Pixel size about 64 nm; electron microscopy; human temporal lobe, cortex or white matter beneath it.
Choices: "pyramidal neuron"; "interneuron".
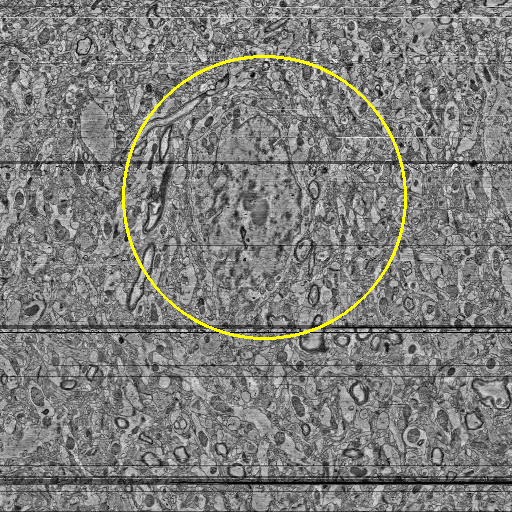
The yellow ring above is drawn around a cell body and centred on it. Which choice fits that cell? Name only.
interneuron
